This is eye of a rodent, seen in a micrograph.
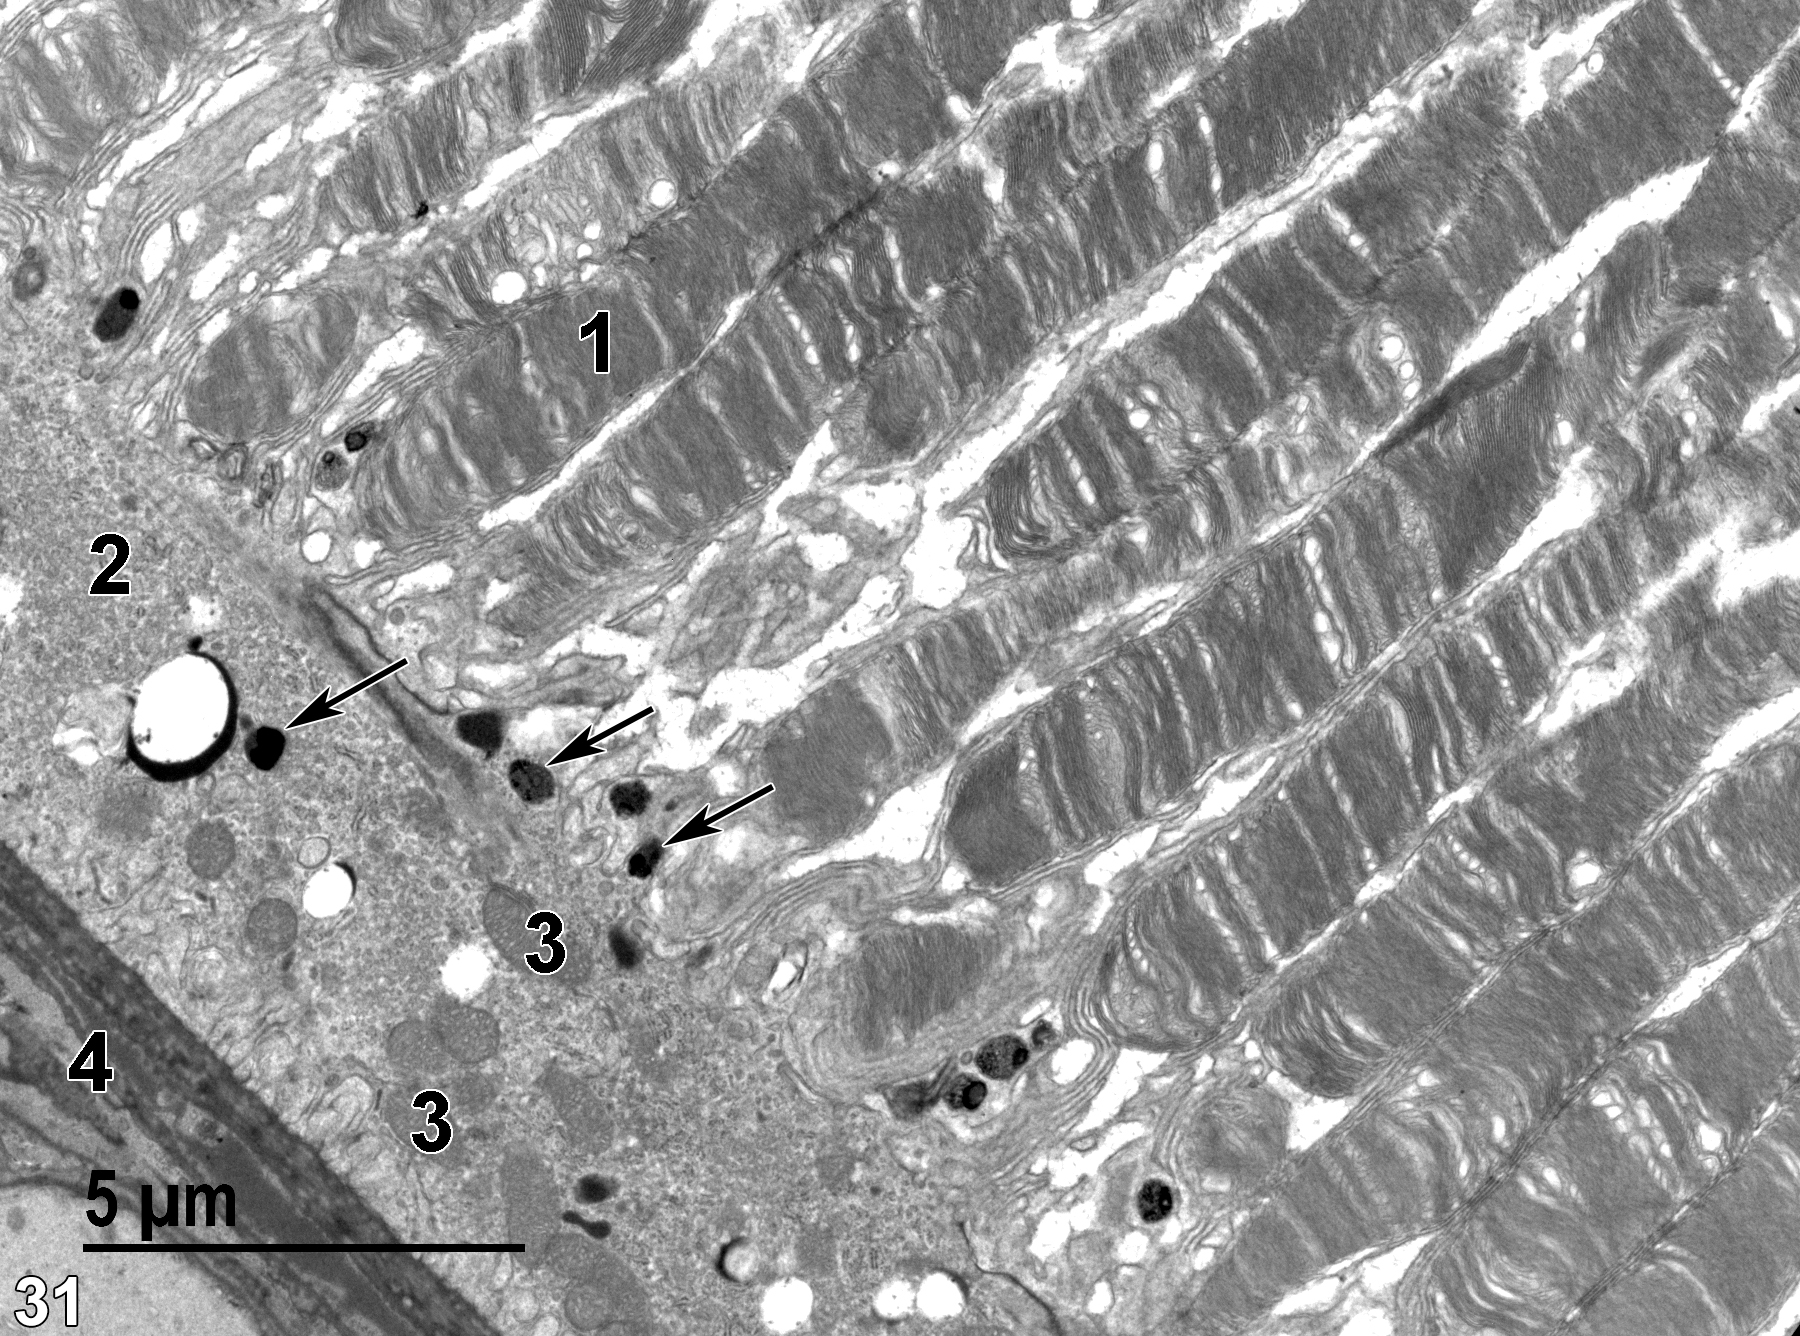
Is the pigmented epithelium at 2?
Yes, 2 marks the pigmented epithelium.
